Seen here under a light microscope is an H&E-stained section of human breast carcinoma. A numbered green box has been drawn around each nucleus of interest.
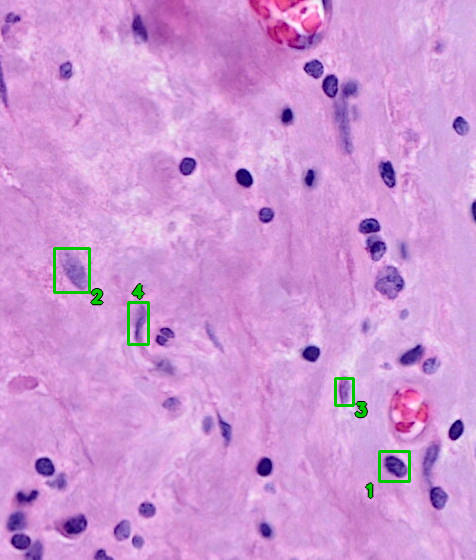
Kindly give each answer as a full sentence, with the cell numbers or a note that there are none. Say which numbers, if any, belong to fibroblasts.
In this section, the cells labelled 2, 3 and 4 are fibroblasts.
